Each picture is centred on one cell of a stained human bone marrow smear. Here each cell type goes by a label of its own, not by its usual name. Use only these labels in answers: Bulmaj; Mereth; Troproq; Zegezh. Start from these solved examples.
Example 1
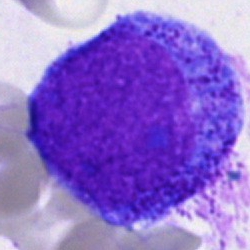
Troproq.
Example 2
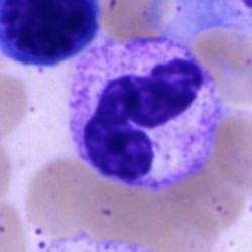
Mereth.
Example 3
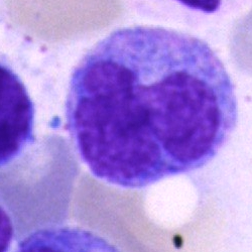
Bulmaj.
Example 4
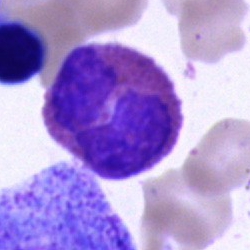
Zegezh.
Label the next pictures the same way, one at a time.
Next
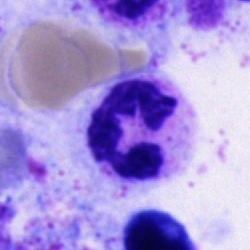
Mereth.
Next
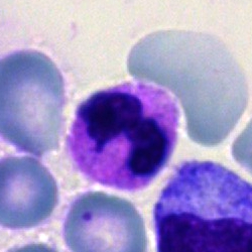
Mereth.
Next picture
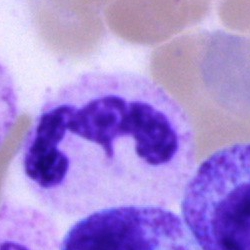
Mereth.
